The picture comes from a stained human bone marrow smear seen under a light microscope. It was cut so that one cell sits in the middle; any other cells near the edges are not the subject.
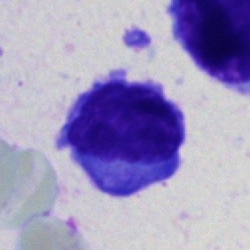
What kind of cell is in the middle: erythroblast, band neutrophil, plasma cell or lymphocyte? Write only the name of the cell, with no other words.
plasma cell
